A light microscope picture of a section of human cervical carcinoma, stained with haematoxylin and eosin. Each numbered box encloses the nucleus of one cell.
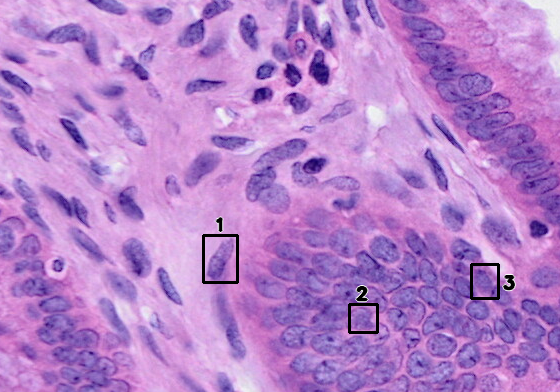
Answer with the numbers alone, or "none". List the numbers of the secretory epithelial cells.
2, 3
